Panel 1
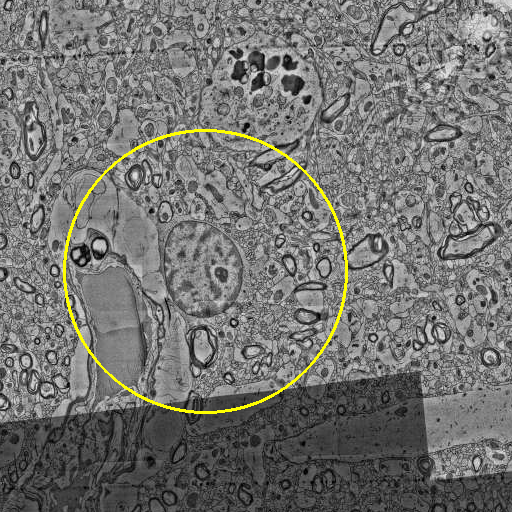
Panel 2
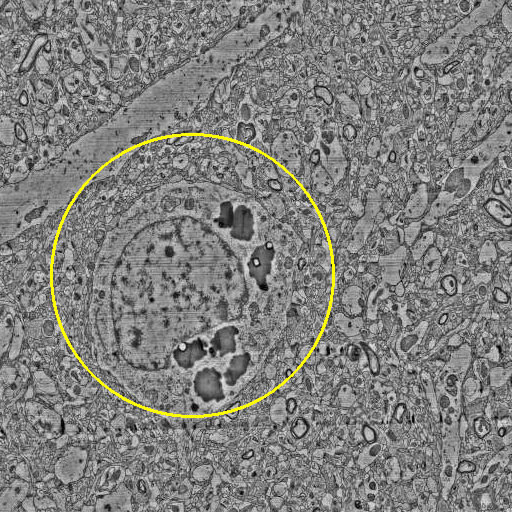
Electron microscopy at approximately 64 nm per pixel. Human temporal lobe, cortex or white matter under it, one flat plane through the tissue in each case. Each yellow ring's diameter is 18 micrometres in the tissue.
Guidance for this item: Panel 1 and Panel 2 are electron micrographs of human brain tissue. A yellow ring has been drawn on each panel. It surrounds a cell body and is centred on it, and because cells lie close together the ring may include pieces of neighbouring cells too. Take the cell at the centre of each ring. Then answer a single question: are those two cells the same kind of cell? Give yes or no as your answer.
no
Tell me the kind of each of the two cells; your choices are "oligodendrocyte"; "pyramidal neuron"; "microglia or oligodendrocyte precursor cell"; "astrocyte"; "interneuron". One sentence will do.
The ringed cell is an oligodendrocyte in the first picture and an interneuron in the second picture.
